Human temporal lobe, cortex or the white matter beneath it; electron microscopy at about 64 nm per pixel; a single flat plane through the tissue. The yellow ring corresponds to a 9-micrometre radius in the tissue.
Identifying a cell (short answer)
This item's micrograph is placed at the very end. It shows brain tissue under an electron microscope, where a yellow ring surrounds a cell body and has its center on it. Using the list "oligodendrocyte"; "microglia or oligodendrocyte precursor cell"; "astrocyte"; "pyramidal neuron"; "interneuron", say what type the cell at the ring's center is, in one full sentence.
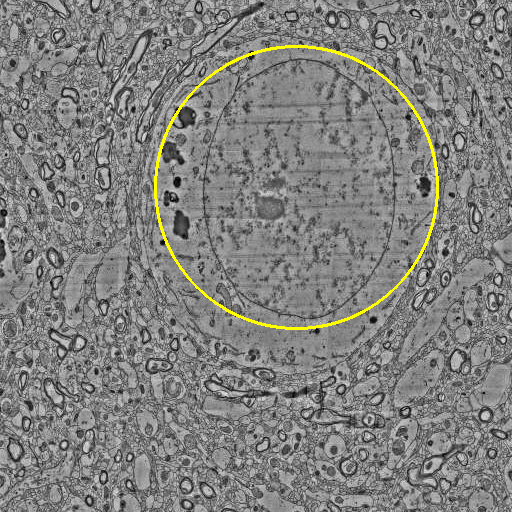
This picture shows a pyramidal neuron at the center of the yellow ring drawn on it.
